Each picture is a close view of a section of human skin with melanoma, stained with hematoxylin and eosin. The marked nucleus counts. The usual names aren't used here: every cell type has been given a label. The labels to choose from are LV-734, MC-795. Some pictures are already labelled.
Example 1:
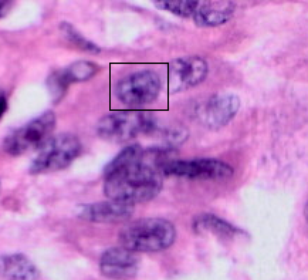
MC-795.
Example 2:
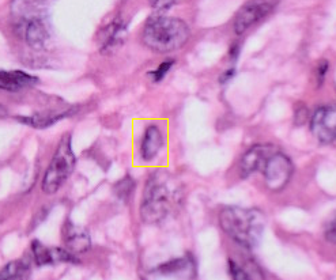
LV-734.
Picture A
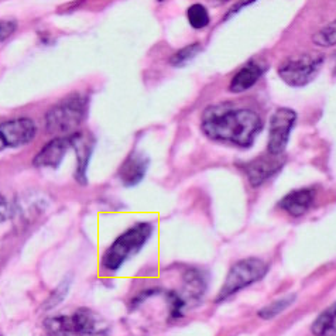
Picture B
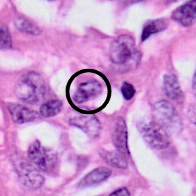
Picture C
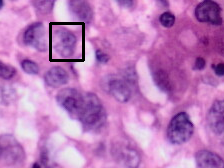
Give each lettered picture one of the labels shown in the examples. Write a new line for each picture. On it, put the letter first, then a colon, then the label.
A: MC-795.
B: MC-795.
C: MC-795.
